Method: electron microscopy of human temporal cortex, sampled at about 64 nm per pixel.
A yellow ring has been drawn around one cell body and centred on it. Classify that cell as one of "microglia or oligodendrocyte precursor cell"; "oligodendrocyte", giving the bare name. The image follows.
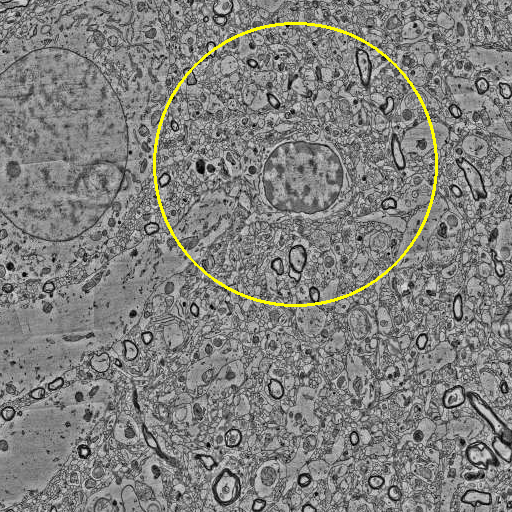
microglia or oligodendrocyte precursor cell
